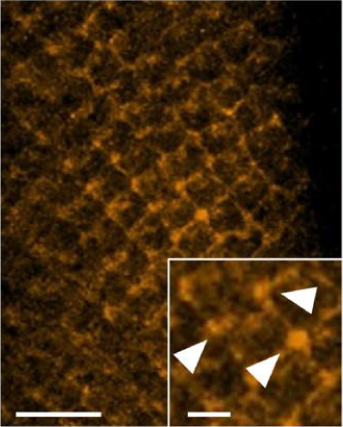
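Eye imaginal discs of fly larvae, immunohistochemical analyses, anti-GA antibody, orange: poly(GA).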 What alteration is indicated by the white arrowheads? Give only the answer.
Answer: Cytoplasmic aggregates.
